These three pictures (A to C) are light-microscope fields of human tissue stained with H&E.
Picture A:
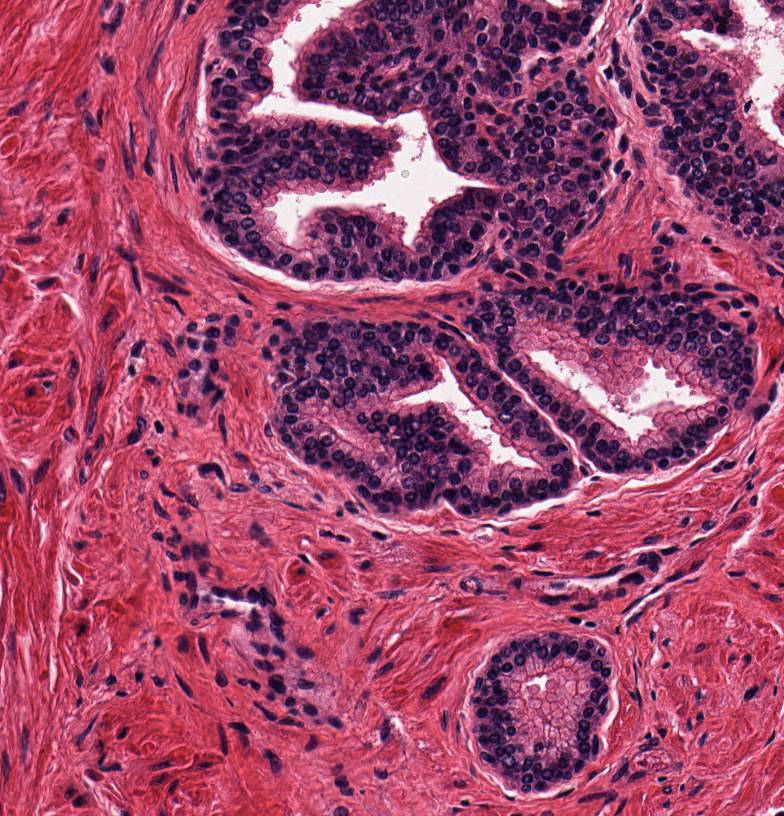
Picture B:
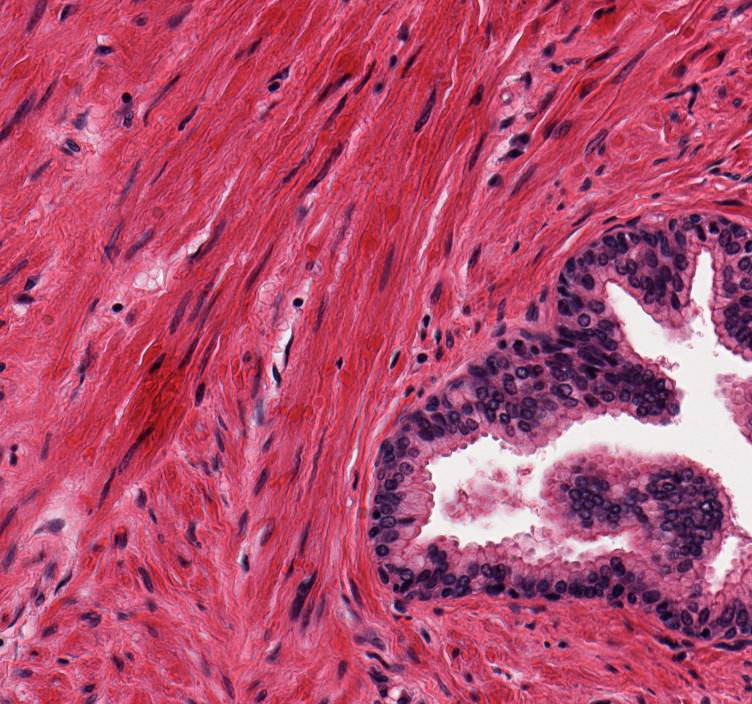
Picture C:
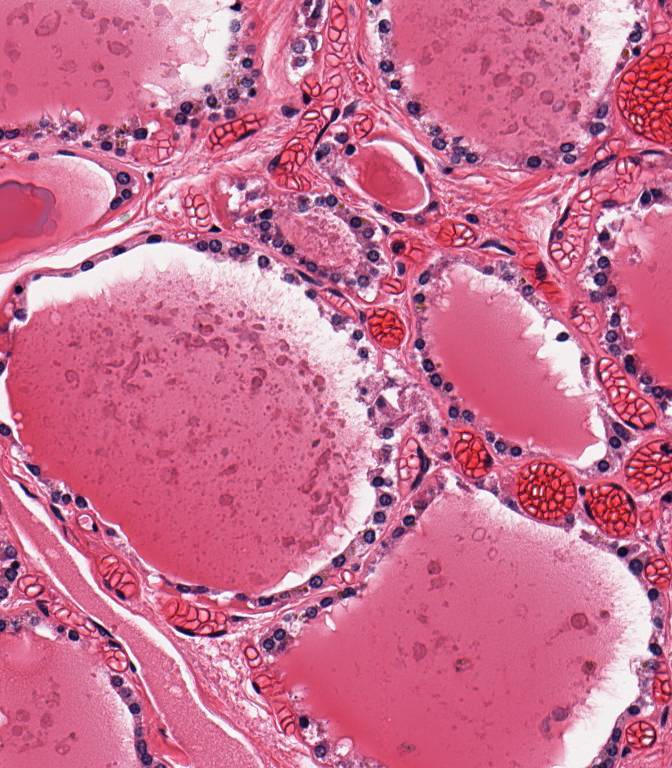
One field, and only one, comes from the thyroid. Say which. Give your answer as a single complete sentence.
Picture C comes from the thyroid.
